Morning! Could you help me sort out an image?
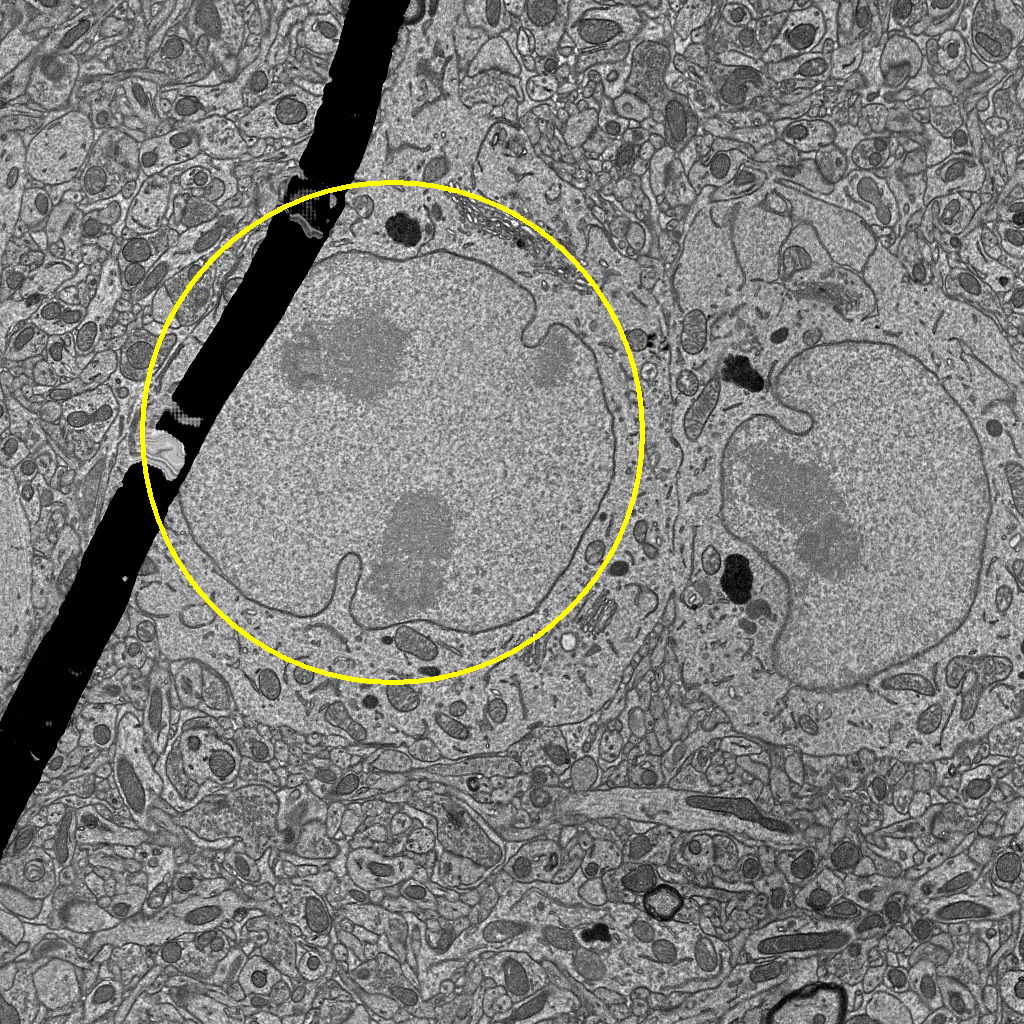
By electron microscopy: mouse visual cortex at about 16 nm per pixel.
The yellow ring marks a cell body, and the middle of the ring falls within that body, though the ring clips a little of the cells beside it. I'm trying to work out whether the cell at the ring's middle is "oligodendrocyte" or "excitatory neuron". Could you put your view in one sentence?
The cell body at the ring's middle is that of an excitatory neuron.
